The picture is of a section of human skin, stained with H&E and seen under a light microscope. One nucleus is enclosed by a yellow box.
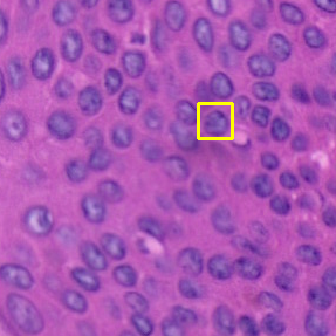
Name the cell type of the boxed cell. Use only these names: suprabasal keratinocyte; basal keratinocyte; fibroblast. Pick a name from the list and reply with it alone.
suprabasal keratinocyte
